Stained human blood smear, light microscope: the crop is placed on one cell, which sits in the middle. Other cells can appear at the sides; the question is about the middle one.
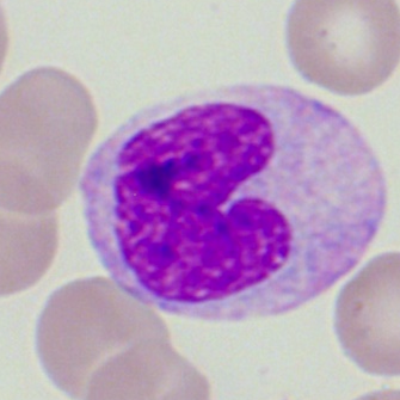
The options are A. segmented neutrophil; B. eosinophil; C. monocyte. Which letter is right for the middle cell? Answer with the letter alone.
C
